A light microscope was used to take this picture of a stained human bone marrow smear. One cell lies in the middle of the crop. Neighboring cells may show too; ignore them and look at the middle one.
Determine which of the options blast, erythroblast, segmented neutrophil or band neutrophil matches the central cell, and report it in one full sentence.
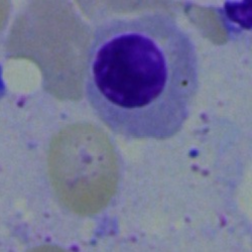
This crop has an erythroblast at its centre.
